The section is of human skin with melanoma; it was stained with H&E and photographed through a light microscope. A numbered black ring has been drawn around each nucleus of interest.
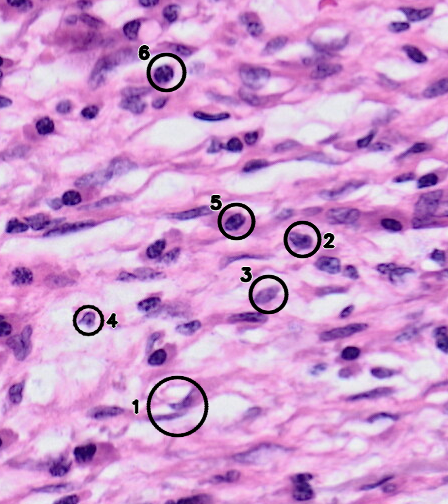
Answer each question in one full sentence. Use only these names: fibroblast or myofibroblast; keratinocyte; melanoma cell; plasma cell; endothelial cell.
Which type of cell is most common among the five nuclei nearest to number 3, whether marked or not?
The majority of the five nuclei closest to number 3 belong to fibroblasts or myofibroblasts.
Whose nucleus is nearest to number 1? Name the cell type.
It is a plasma cell whose nucleus is nearest to number 1.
